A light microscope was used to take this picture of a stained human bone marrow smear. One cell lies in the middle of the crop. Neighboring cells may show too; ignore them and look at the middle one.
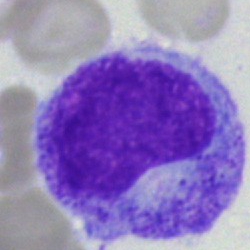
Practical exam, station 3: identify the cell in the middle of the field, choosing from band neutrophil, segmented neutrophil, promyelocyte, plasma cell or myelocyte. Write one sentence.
The cell nearest the centre of this crop is a promyelocyte.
